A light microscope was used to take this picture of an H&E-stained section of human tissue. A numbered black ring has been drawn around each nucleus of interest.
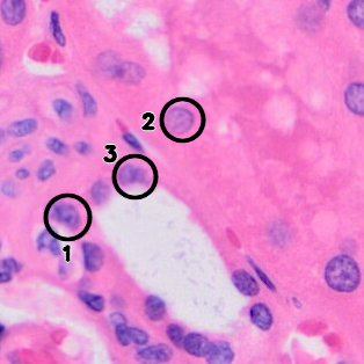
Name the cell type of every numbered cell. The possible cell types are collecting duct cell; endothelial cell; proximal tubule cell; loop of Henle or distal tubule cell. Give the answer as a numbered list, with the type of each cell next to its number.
1. loop of Henle or distal tubule cell
2. proximal tubule cell
3. loop of Henle or distal tubule cell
